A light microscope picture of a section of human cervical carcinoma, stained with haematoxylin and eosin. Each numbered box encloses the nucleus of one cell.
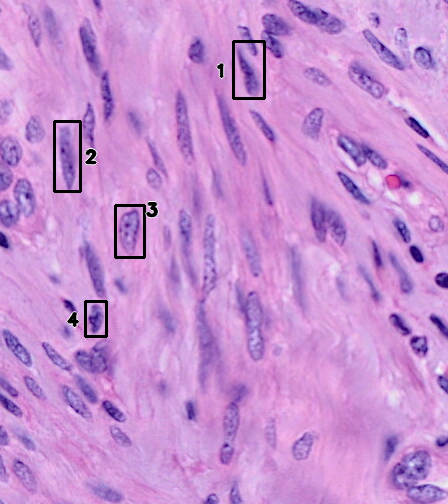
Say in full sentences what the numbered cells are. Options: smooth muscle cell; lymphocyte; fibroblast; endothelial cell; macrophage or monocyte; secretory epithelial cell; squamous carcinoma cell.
Cell 1 is a fibroblast, cell 2 is a fibroblast, cell 3 is a smooth muscle cell and cell 4 is a fibroblast.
